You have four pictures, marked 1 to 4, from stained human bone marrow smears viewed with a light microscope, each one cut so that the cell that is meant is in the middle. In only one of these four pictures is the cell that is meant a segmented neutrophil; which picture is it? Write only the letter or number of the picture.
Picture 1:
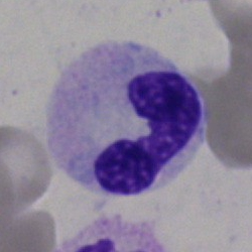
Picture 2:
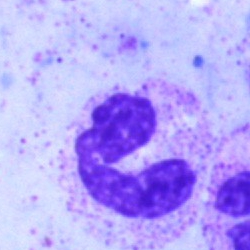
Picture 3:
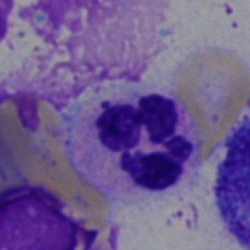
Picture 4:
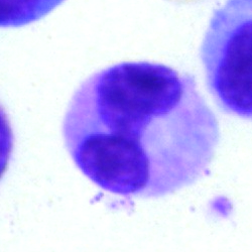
3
